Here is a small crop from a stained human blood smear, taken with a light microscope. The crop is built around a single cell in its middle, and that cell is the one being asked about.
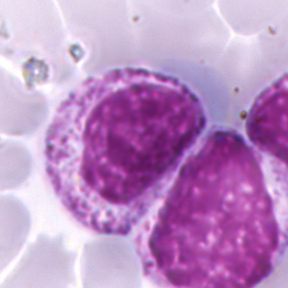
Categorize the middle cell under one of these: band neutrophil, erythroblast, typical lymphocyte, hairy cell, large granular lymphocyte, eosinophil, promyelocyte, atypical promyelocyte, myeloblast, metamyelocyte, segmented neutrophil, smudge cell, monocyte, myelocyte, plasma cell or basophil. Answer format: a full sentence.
Classified as a myelocyte is the cell in the middle of this crop.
